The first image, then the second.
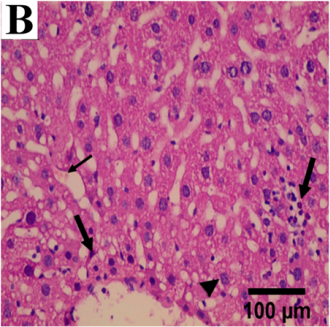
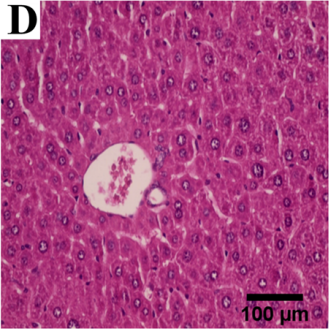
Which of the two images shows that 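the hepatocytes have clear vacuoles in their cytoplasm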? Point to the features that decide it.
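The first image. Second image: hepatocytes have evenly pink, compact cytoplasm. First image: hepatocyte cytoplasm is pale and full of clear spaces.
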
